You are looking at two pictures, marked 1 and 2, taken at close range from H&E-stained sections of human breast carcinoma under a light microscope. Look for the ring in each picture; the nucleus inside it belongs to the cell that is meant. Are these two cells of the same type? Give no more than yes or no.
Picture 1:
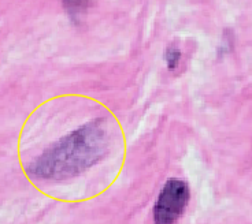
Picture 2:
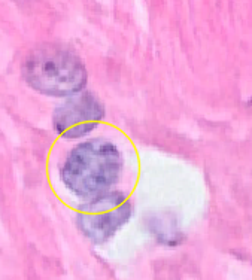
no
